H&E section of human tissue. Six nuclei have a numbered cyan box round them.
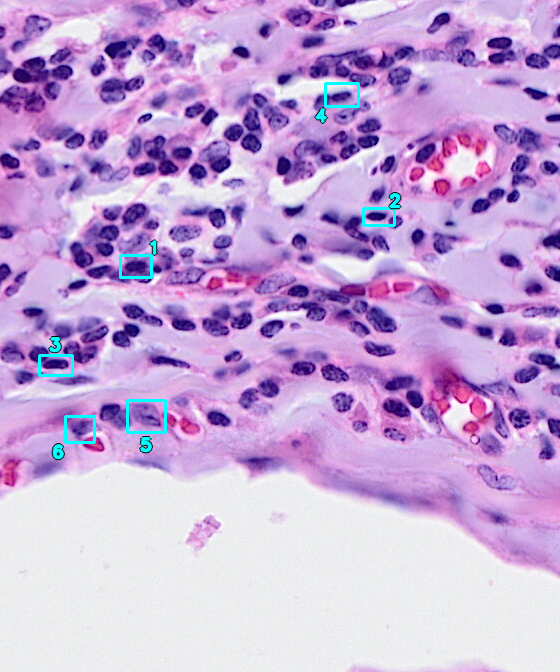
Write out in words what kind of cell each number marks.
Cells 1, 2, 3 and 4 are lymphocytes. Cells 5 and 6 are endothelial cells.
